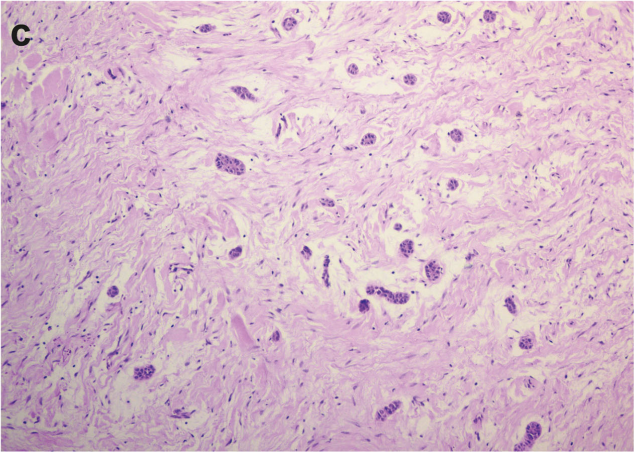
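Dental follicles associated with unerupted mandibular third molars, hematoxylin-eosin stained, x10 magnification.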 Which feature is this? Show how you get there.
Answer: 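Small, rounded, scattered clusters of dark-nucleated epithelial cells. The clusters lie within pale fibrous connective tissue.
Answer: islets of the odontogenic epithelium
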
